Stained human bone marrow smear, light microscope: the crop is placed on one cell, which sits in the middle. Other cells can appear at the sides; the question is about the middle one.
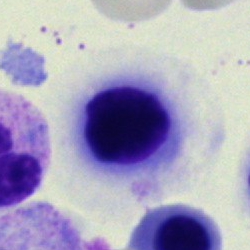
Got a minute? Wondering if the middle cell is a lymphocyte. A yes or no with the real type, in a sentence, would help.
No, the cell in the middle is an erythroblast; it is not a lymphocyte.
